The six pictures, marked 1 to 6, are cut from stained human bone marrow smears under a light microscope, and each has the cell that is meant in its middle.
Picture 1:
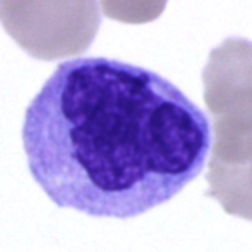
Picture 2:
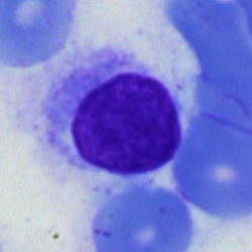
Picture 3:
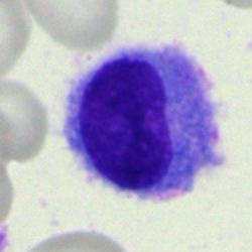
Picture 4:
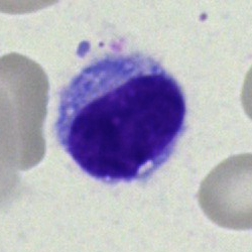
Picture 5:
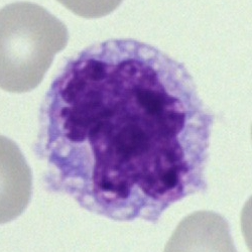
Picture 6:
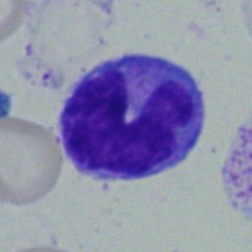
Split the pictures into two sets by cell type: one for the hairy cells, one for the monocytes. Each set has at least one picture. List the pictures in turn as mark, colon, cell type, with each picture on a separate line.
1: monocyte
2: hairy cell
3: hairy cell
4: hairy cell
5: monocyte
6: monocyte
